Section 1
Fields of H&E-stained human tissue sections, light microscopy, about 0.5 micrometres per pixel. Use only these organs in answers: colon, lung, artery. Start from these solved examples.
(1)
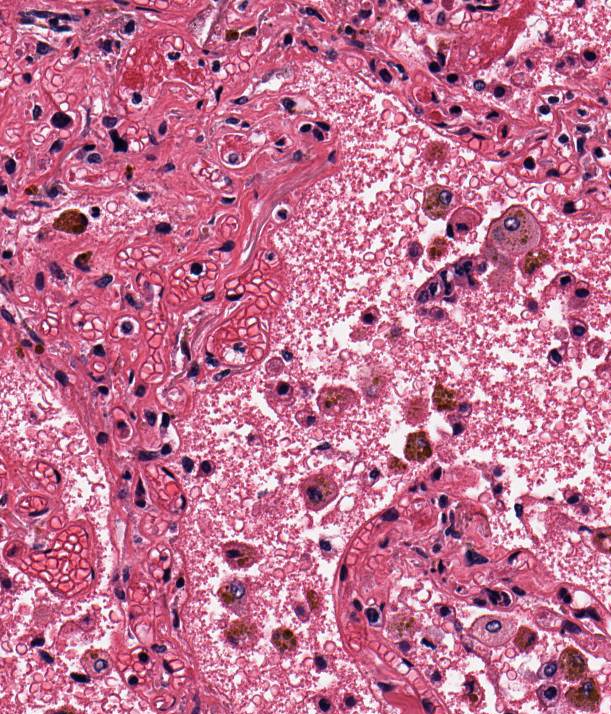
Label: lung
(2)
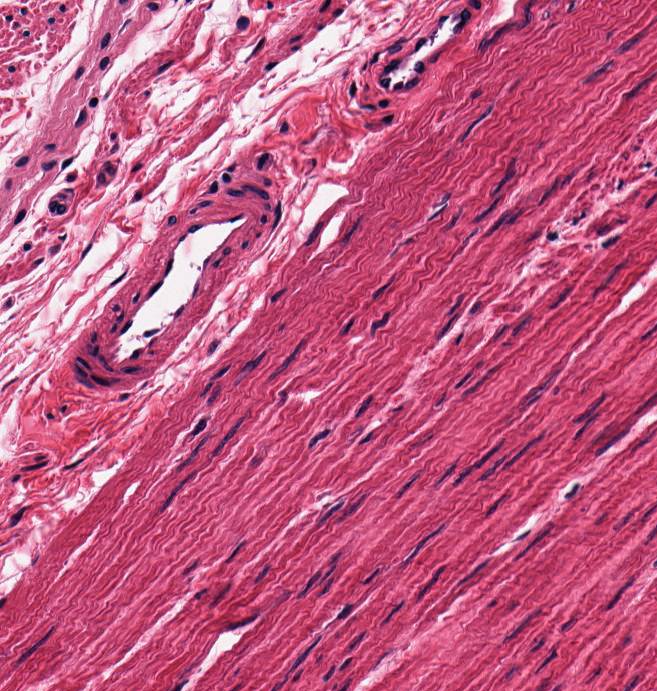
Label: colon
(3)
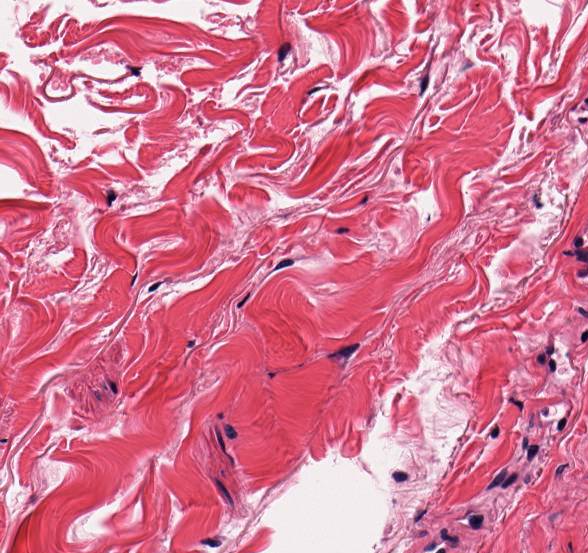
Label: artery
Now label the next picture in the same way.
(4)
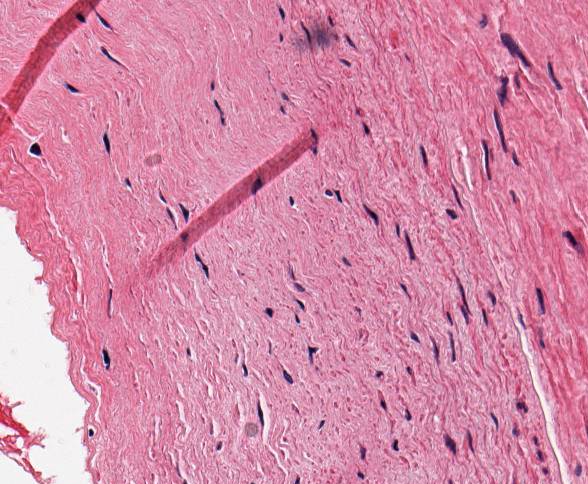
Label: artery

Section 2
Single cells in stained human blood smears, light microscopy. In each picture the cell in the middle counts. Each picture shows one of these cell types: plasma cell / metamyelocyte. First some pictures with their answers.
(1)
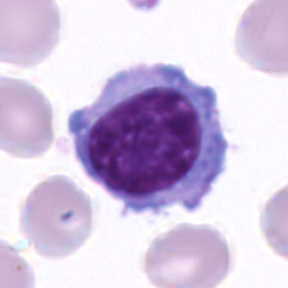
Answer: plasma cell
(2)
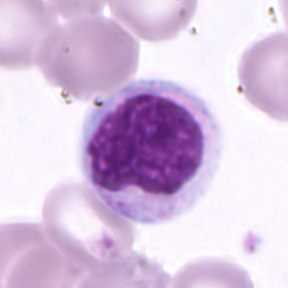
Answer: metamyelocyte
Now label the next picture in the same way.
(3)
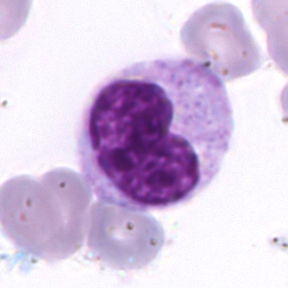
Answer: metamyelocyte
